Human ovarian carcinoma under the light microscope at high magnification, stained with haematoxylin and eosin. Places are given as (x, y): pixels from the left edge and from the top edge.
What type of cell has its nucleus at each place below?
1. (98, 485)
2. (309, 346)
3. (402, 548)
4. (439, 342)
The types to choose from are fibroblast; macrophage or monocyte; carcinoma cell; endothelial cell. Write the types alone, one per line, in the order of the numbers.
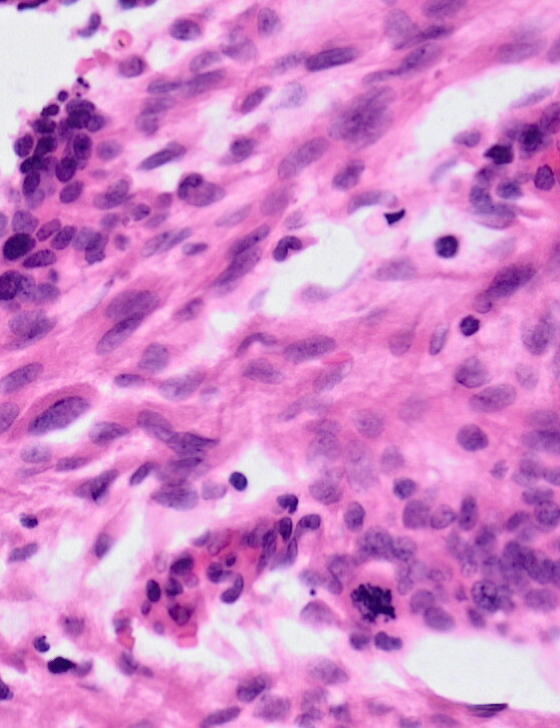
fibroblast
fibroblast
carcinoma cell
fibroblast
